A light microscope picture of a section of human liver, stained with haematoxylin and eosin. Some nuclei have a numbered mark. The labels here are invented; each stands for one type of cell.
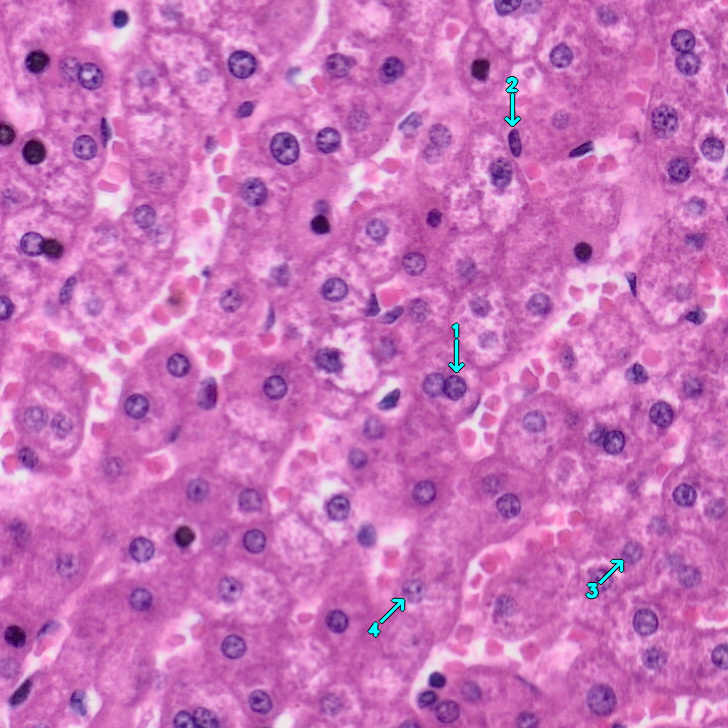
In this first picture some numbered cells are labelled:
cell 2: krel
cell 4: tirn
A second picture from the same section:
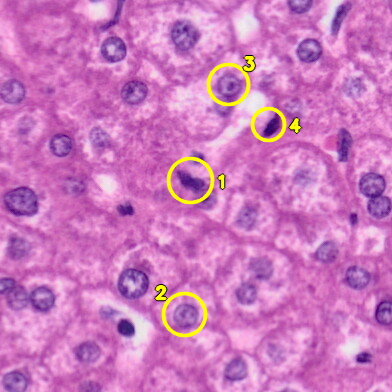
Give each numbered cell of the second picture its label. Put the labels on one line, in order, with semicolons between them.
krel; tirn; tirn; krel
